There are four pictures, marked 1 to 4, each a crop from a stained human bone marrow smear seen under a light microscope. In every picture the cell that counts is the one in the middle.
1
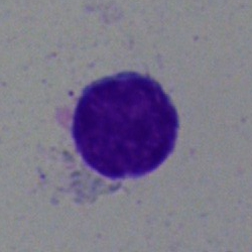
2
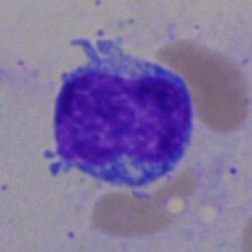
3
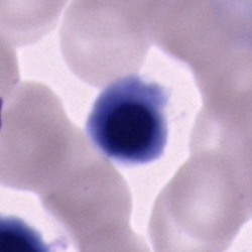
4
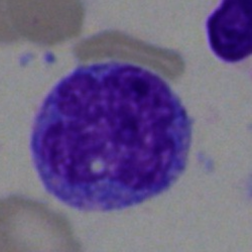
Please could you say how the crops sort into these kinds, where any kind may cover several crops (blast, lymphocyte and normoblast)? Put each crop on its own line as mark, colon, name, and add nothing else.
1: lymphocyte
2: blast
3: normoblast
4: blast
